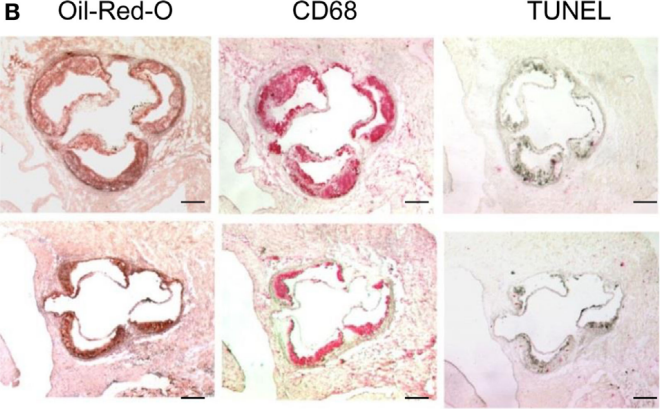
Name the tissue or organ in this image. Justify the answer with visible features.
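Each section shows a vessel lumen outlined by three cusp-like leaflets. The same three-leaflet outline repeats across the sections.
Answer: aortic sinus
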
